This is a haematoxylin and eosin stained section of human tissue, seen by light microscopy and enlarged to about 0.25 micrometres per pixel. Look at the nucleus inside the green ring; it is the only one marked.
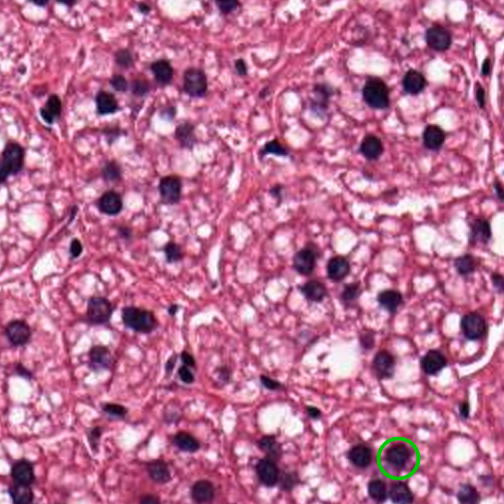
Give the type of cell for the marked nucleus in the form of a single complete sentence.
The marked nucleus is contained in an adrenal cortical cell.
